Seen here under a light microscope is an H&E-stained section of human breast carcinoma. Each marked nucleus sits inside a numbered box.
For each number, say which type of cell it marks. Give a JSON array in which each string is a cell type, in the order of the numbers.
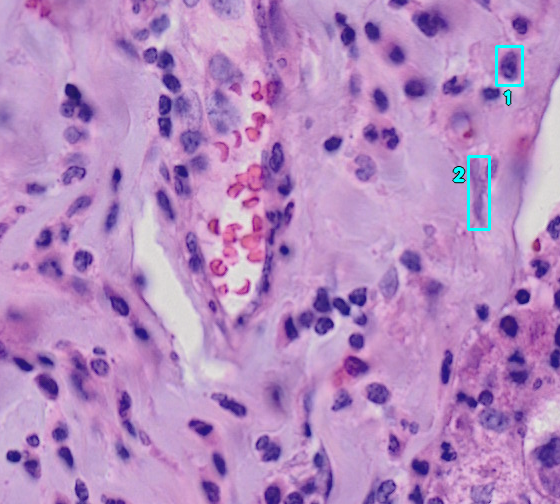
["mast cell", "fibroblast"]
